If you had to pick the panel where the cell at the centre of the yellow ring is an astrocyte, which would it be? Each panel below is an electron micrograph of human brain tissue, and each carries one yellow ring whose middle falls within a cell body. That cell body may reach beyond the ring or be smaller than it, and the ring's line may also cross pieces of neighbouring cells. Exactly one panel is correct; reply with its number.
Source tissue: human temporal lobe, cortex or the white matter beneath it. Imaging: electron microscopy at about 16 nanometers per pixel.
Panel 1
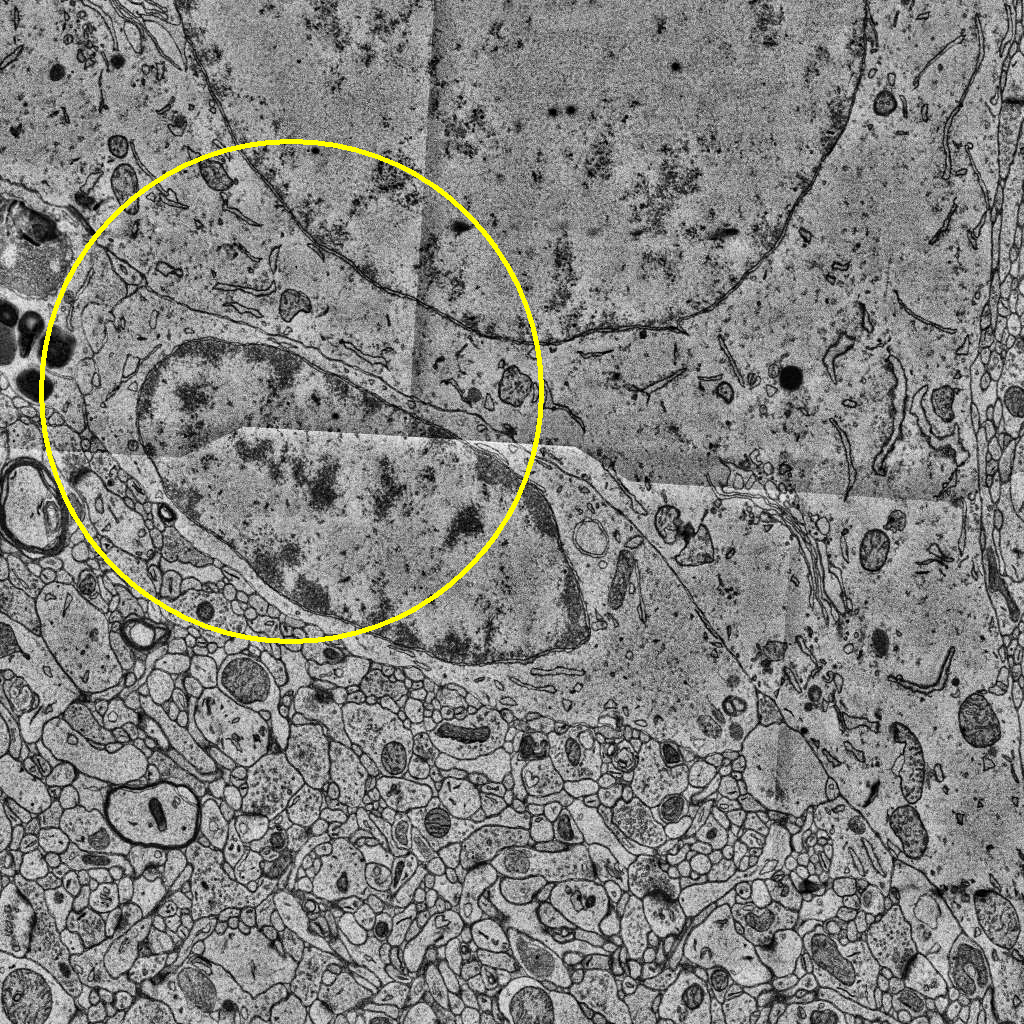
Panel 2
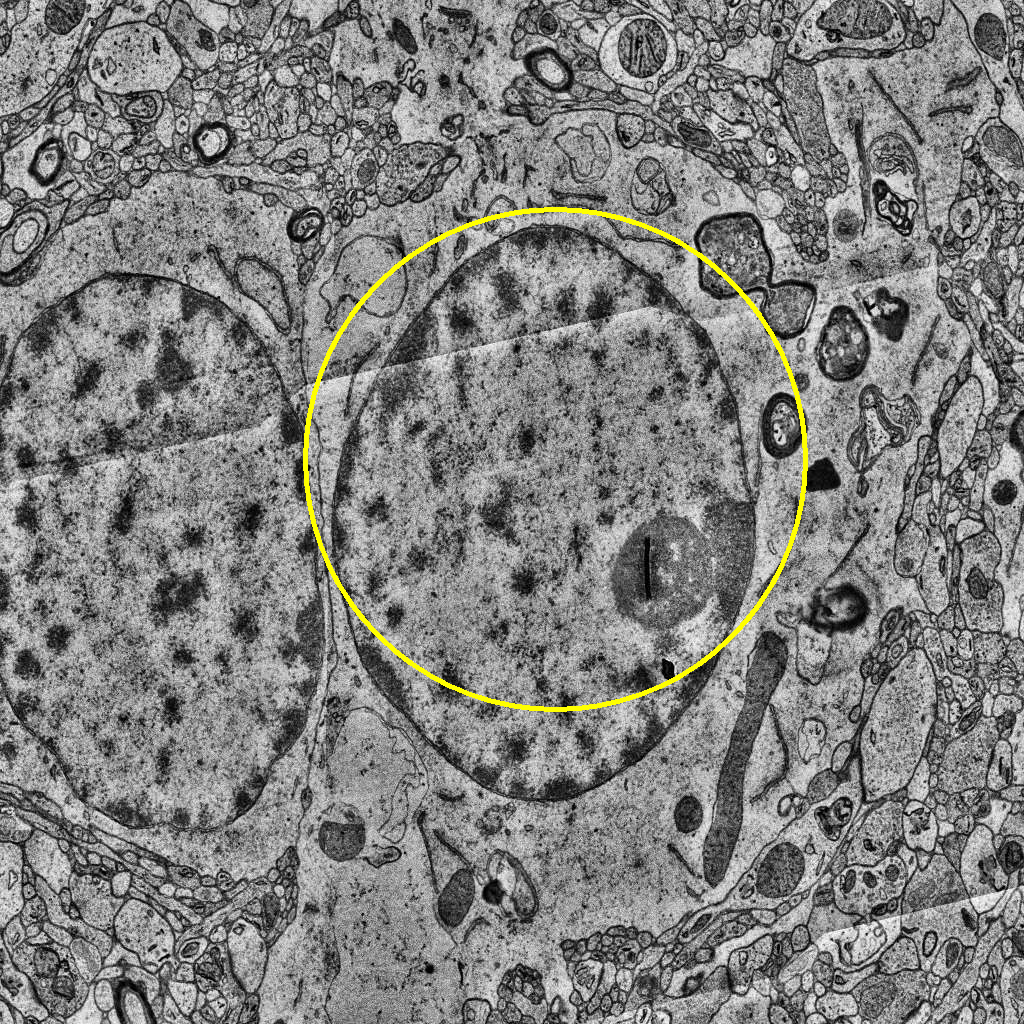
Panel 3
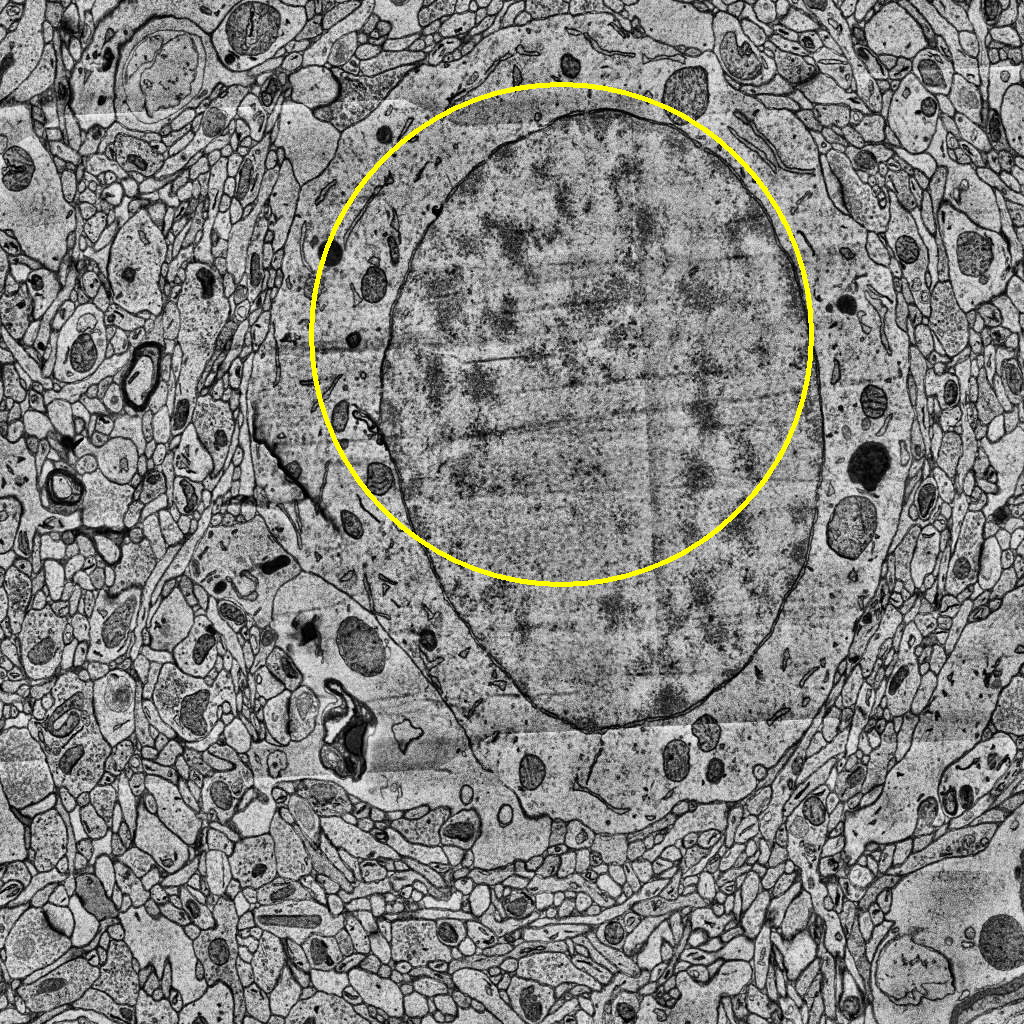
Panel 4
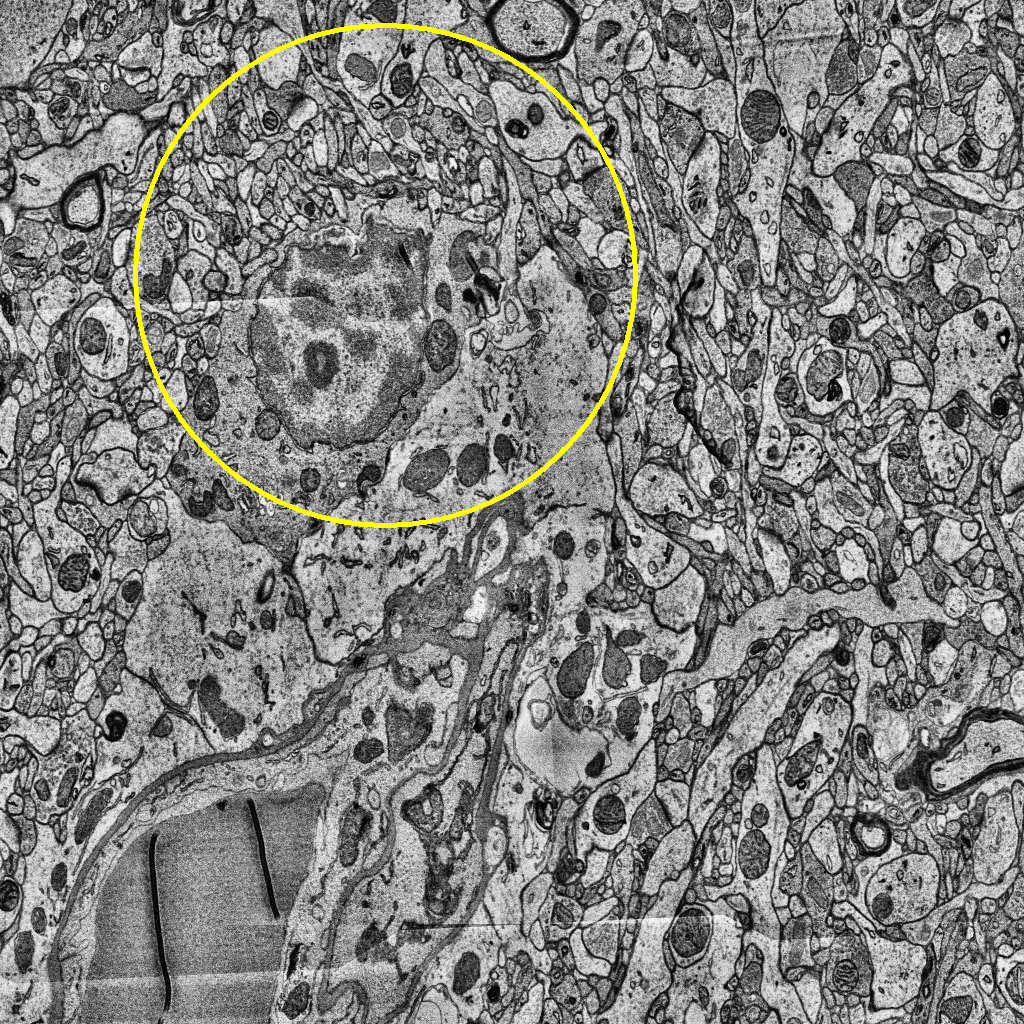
2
